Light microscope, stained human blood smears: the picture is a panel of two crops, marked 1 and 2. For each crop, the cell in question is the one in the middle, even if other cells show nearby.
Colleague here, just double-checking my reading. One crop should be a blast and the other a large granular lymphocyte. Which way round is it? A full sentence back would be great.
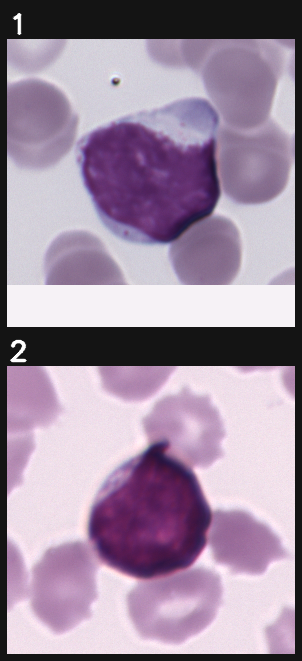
As for crop 1, it is a large granular lymphocyte; crop 2, by contrast, is a blast.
